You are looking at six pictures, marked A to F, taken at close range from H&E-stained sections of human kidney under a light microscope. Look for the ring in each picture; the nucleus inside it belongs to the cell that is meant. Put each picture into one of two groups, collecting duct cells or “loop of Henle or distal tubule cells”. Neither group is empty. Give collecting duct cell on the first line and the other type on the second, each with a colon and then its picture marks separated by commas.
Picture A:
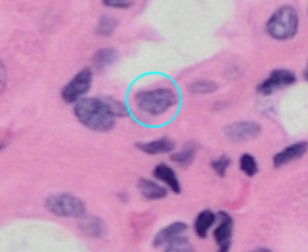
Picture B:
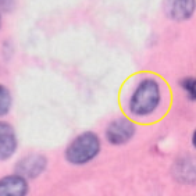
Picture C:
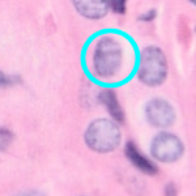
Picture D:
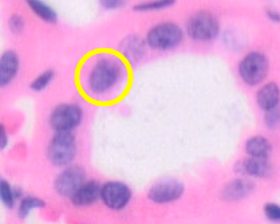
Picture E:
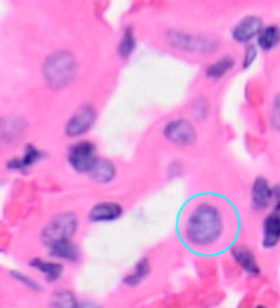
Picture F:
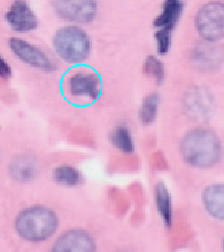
collecting duct cell: A, C, D, E
loop of Henle or distal tubule cell: B, F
